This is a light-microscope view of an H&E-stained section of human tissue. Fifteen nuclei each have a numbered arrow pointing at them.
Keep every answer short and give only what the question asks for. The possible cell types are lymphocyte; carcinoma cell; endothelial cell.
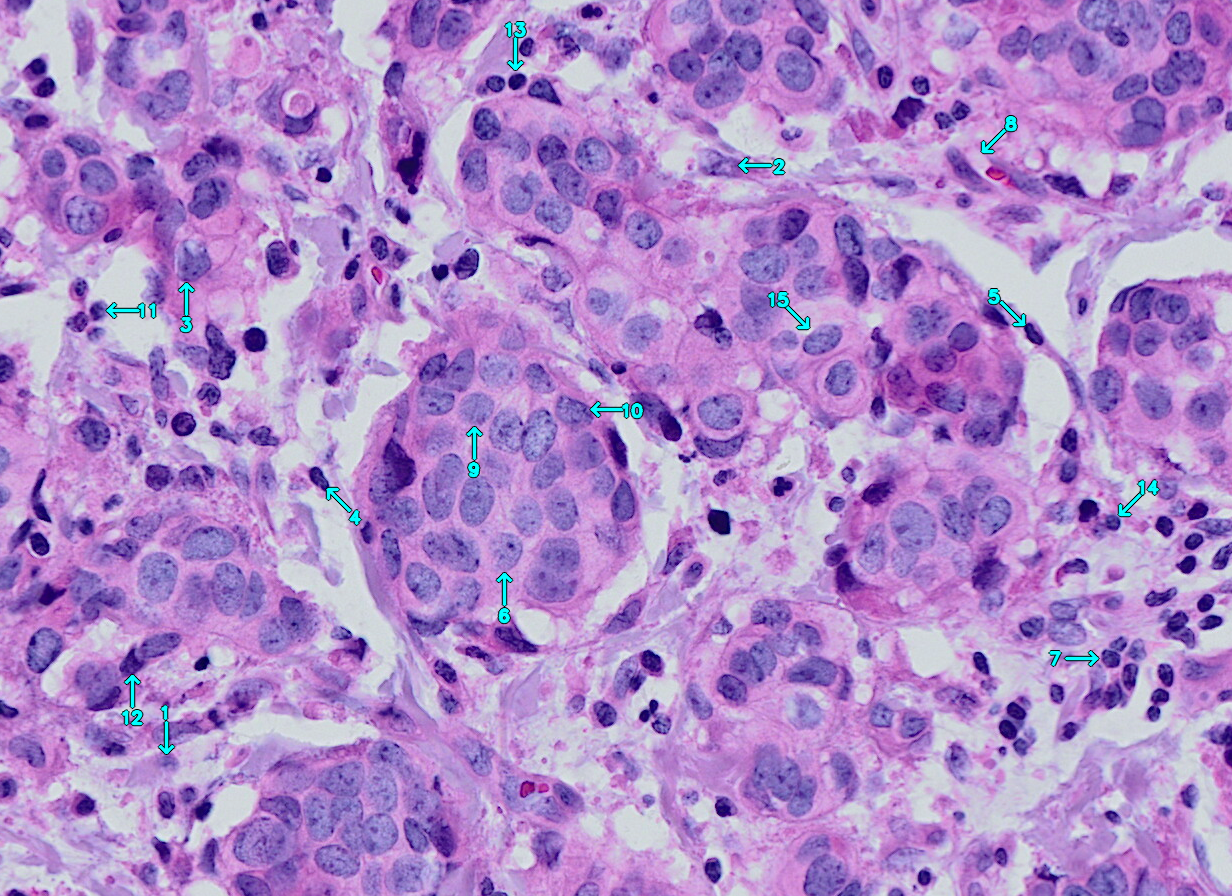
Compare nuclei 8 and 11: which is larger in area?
8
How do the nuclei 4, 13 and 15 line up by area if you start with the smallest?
13, 4, 15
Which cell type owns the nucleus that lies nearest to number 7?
lymphocyte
